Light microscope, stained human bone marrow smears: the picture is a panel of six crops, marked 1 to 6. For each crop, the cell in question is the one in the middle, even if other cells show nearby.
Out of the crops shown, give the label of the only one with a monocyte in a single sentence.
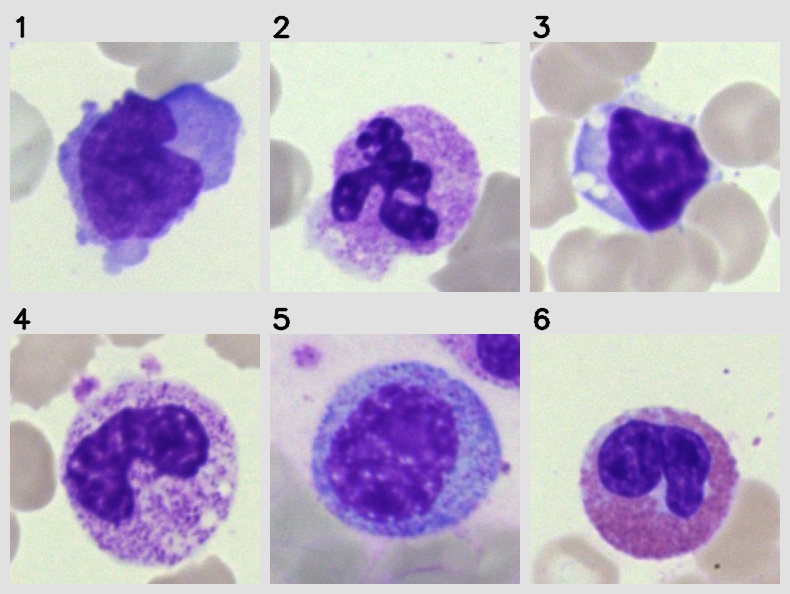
Crop 1 represents a monocyte, while the other crops do not.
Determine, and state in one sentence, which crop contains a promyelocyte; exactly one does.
Selected crop: 5, which is the one that shows a promyelocyte.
